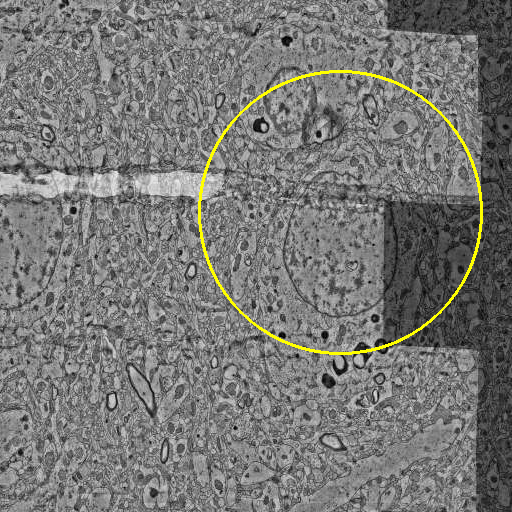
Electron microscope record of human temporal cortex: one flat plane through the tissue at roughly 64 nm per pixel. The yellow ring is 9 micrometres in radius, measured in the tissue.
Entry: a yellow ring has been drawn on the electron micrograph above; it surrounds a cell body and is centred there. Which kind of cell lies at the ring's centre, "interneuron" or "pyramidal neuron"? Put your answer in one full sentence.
The cell sitting at the ring's centre is a pyramidal neuron in the micrograph above.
